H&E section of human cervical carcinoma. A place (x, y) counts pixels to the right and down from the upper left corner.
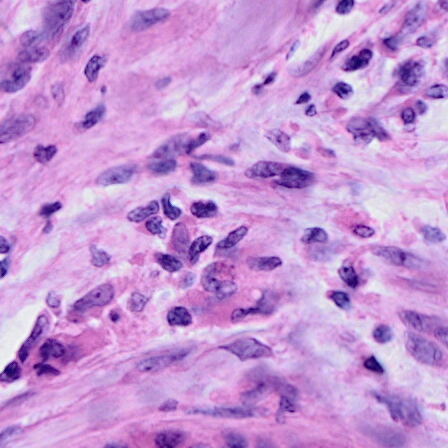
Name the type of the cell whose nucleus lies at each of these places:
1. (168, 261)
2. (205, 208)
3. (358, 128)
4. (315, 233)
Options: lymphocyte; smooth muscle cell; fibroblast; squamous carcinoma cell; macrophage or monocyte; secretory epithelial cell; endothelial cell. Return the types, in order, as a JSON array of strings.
["lymphocyte", "lymphocyte", "macrophage or monocyte", "lymphocyte"]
